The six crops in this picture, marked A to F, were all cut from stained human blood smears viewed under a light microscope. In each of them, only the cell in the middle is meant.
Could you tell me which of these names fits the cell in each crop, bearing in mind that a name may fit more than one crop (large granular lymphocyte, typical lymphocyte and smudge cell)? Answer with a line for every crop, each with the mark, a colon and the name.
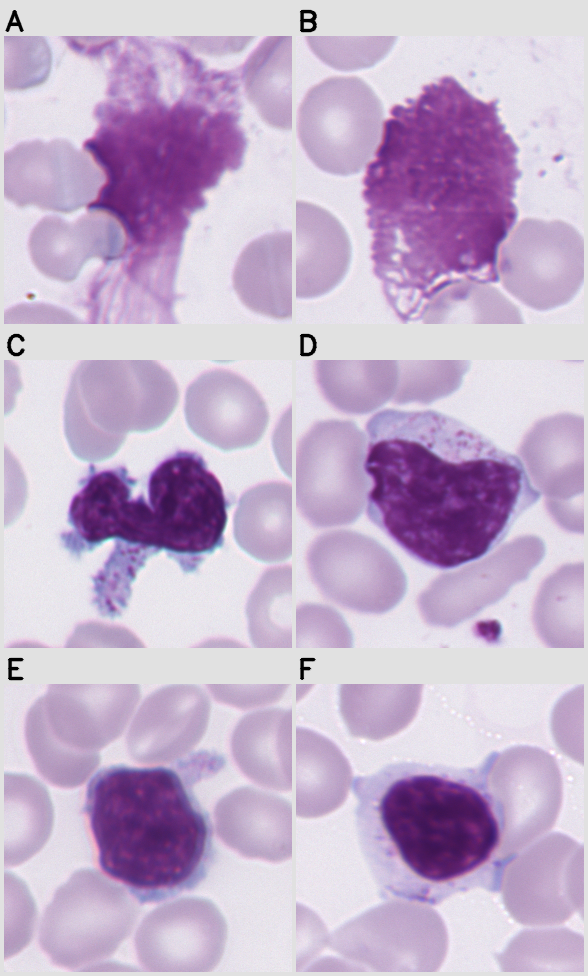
A: smudge cell
B: smudge cell
C: large granular lymphocyte
D: large granular lymphocyte
E: typical lymphocyte
F: large granular lymphocyte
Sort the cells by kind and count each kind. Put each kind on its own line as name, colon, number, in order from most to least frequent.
large granular lymphocyte: 3
smudge cell: 2
typical lymphocyte: 1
